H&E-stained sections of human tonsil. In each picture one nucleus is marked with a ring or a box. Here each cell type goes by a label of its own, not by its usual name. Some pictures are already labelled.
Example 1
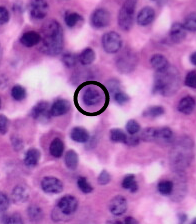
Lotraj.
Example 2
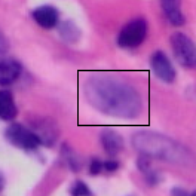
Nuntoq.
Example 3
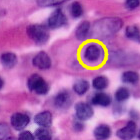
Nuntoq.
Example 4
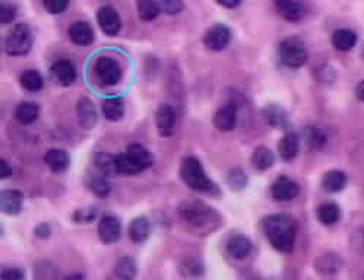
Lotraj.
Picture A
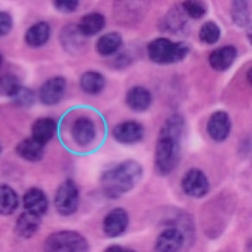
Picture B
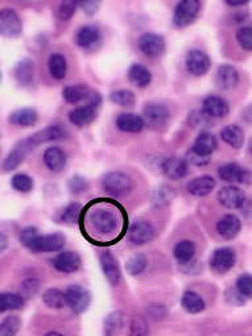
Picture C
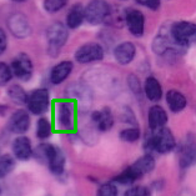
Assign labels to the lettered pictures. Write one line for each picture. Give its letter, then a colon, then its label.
A: Lotraj.
B: Lotraj.
C: Nuntoq.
